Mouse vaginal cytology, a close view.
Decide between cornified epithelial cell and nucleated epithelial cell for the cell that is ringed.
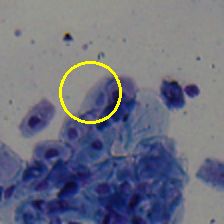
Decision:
I take the ringed cell for a nucleated epithelial cell.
